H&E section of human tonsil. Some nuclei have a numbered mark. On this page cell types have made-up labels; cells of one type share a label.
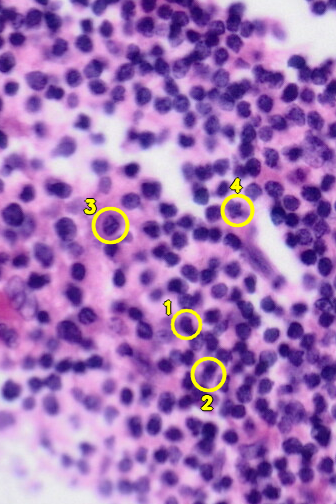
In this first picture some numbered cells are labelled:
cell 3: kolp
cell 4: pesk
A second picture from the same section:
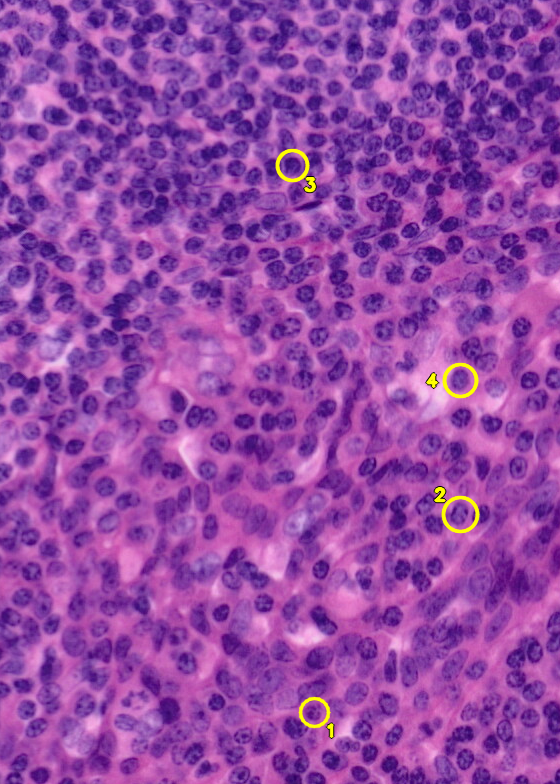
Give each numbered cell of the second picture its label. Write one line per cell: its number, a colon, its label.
1: kolp
2: kolp
3: pesk
4: kolp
